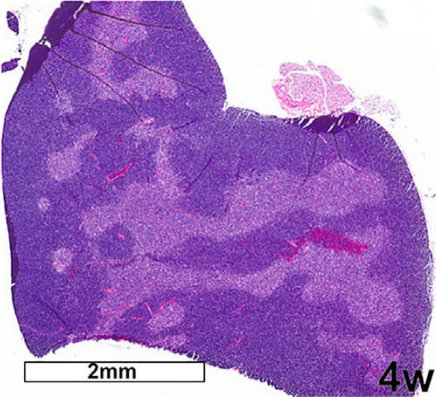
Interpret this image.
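This is a lobe of thymus shown at low power, with a clear division into an outer cortex and an inner medulla. The cortex forms a dark purple rim made of densely packed small cells with dark nuclei. The medulla forms large, pale, lighter-staining regions that run continuously through the middle of the lobe. Small red vessels are visible within the pale medullary tissue.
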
